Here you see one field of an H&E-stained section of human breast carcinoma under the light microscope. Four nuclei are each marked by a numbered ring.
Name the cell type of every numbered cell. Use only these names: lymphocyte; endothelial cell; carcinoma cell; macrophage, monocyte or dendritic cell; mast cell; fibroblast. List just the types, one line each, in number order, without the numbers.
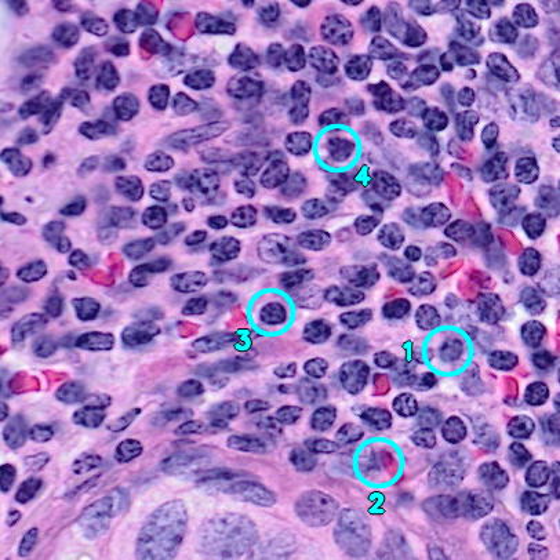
lymphocyte
endothelial cell
lymphocyte
lymphocyte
